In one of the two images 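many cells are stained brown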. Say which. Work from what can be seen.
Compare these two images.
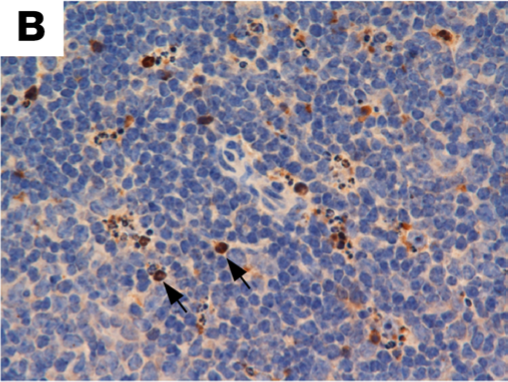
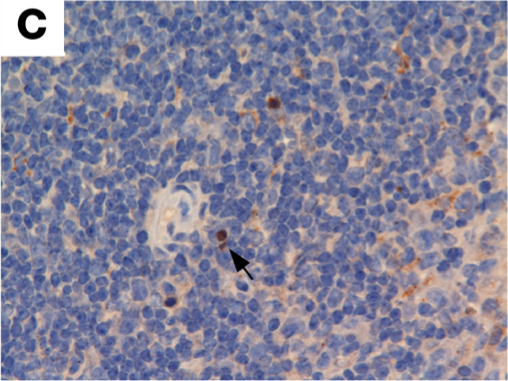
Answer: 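First image: numerous dark brown cells and clusters of brown granules are scattered across the field. The answer: the first image.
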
